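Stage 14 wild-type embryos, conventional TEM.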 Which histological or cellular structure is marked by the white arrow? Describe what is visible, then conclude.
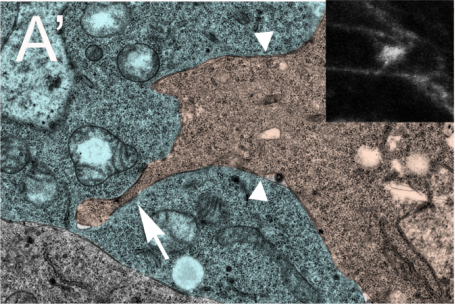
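A thin, elongated extension of the orange cell reaches into the blue cell. The arrow points at this slender extension at the tip of a broader lobe.
Finger-like projections.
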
